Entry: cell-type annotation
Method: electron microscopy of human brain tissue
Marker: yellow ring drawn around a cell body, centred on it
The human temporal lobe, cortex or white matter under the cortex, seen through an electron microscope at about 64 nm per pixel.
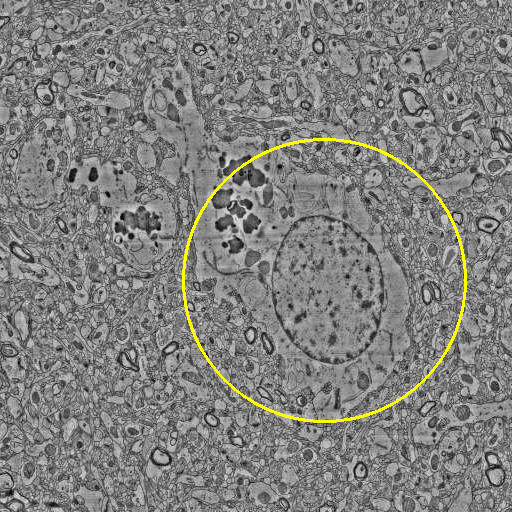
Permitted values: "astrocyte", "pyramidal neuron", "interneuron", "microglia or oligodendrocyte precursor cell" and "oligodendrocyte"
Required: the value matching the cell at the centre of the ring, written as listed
astrocyte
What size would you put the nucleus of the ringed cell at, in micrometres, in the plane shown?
The nucleus has a long axis of about 9 micrometres and a short axis of about 7 micrometres in this plane.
